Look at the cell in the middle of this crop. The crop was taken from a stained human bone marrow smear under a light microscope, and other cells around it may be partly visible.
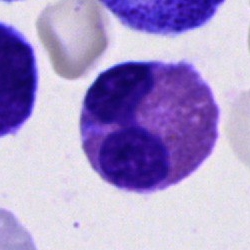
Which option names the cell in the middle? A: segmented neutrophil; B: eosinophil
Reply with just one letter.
B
